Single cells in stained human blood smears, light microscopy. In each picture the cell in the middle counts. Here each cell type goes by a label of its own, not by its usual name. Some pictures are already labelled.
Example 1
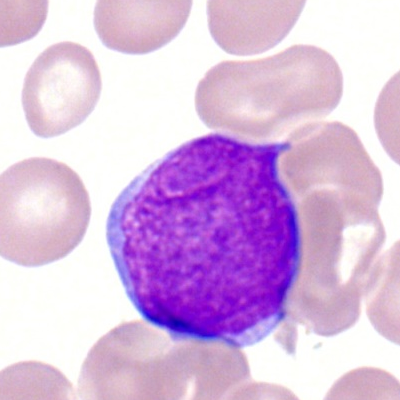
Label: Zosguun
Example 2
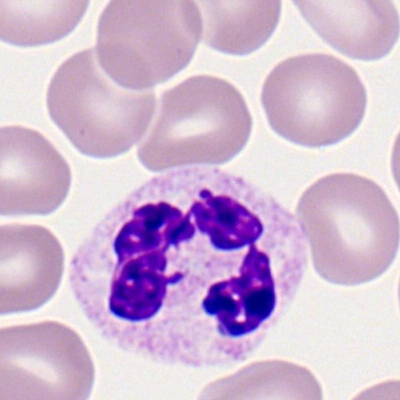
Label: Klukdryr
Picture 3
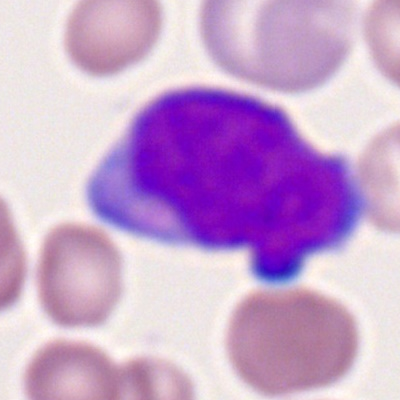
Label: Zosguun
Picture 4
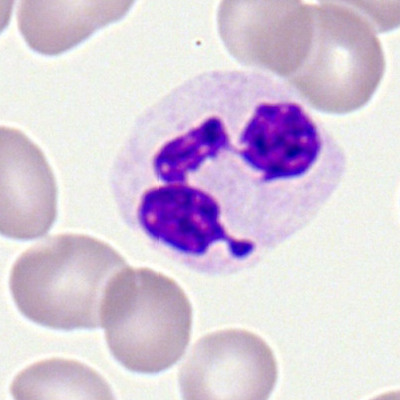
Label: Klukdryr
